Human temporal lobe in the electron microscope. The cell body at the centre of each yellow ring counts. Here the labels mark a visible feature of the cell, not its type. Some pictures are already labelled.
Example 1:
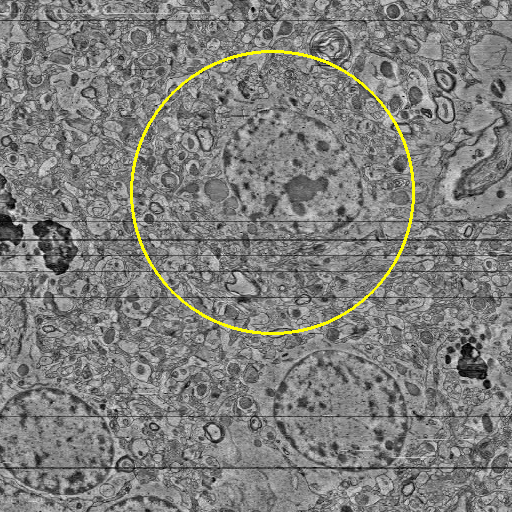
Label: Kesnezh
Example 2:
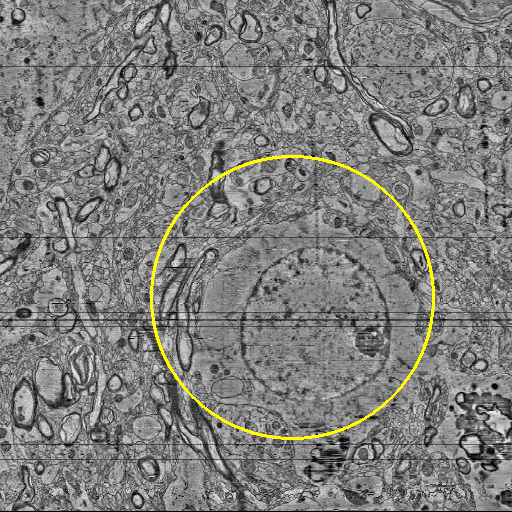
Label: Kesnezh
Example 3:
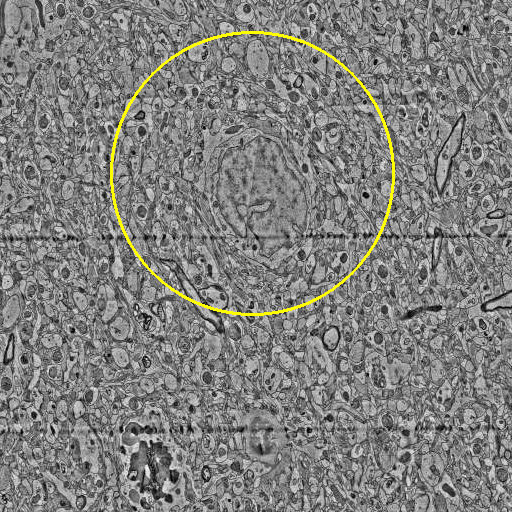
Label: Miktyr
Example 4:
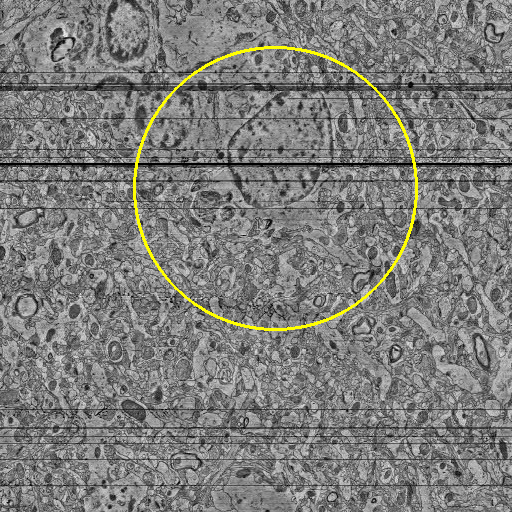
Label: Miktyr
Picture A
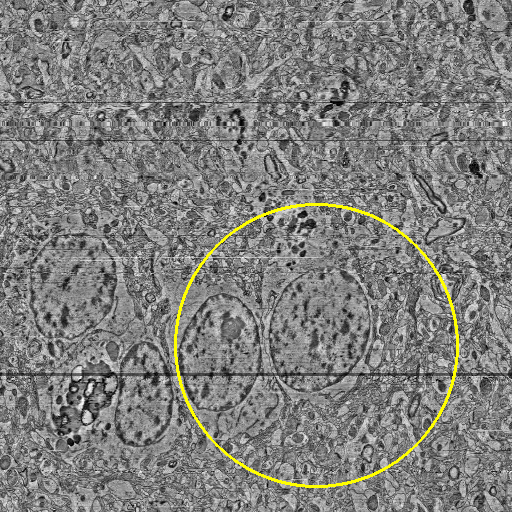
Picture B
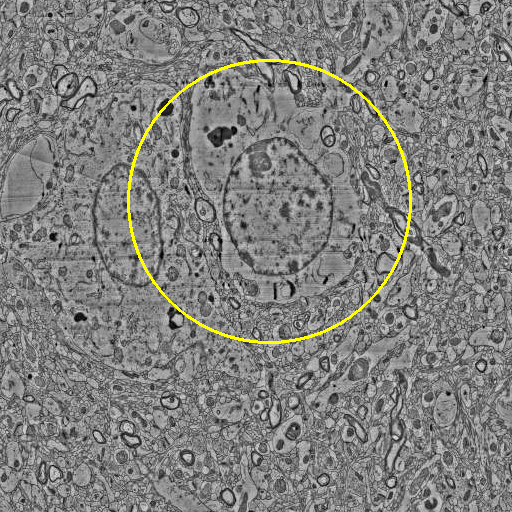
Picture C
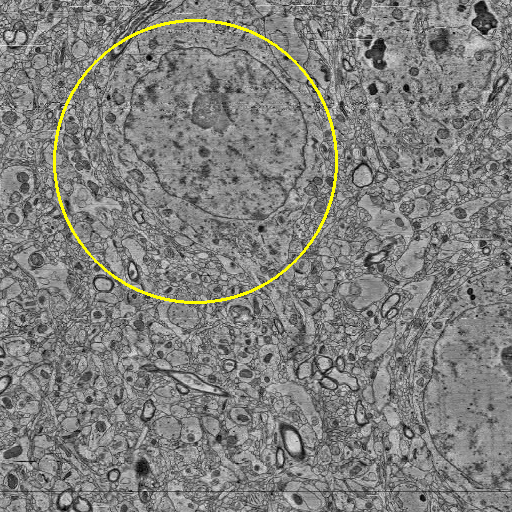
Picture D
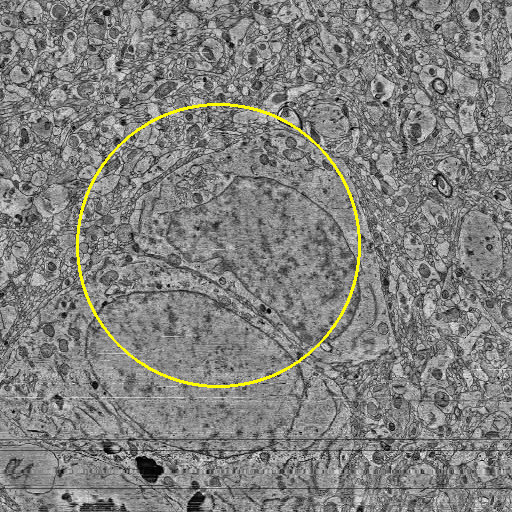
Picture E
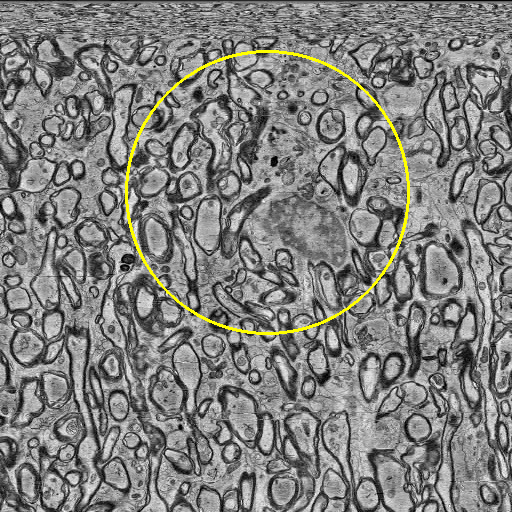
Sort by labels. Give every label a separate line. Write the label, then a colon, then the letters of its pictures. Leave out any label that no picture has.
Kesnezh: B, C
Miktyr: A, D, E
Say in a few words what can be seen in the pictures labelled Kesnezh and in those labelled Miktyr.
In Kesnezh: nucleolus seen. In Miktyr: no nucleolus seen.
